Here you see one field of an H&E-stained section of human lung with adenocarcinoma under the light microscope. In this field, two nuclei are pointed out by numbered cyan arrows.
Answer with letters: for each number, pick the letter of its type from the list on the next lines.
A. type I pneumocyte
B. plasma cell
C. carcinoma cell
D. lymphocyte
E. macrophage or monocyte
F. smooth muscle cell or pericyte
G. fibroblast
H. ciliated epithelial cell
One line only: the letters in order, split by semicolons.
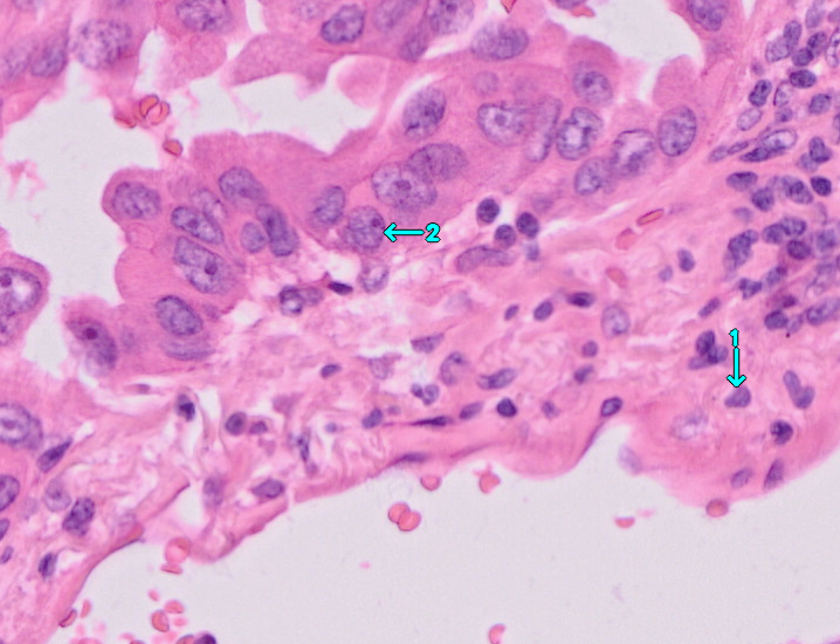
D; C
